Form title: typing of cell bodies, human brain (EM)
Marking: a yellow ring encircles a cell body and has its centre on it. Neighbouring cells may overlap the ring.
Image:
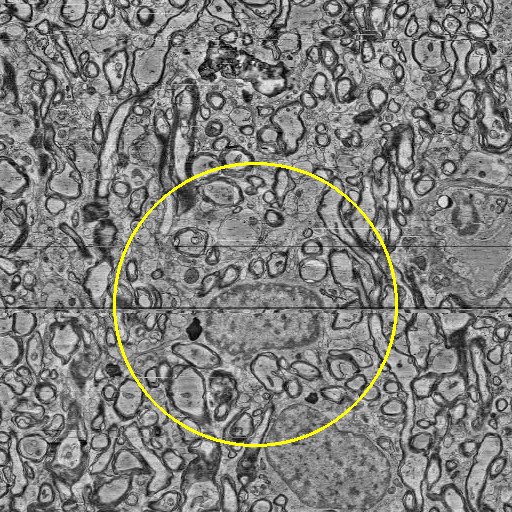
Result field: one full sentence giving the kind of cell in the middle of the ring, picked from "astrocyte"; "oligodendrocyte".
In the picture, the ring is centred on an oligodendrocyte, whose cell body it encircles.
